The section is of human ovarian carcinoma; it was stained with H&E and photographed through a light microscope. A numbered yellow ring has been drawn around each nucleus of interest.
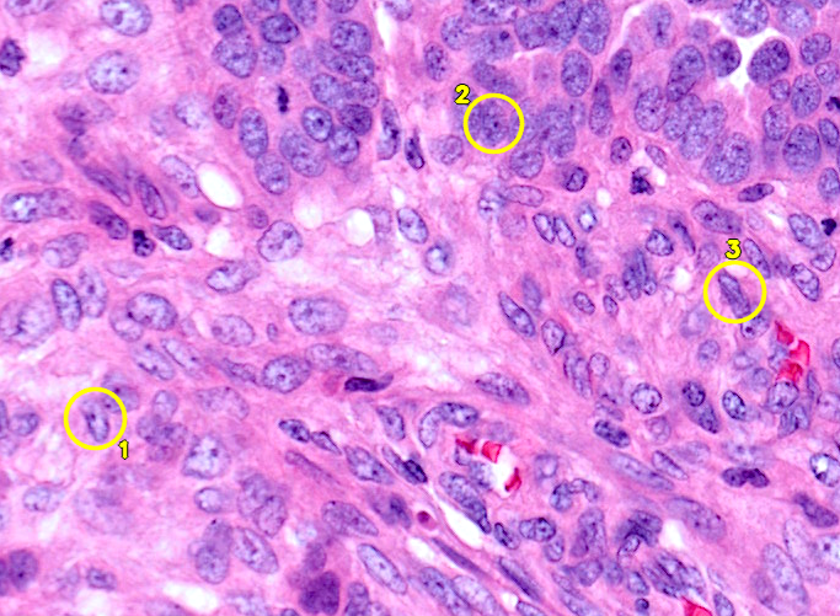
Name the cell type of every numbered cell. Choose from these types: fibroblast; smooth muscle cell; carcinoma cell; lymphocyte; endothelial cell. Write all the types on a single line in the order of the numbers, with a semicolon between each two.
fibroblast; carcinoma cell; endothelial cell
